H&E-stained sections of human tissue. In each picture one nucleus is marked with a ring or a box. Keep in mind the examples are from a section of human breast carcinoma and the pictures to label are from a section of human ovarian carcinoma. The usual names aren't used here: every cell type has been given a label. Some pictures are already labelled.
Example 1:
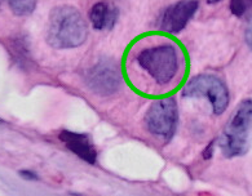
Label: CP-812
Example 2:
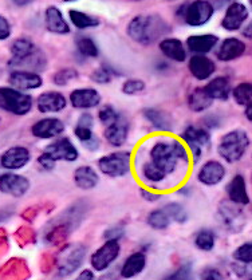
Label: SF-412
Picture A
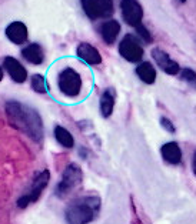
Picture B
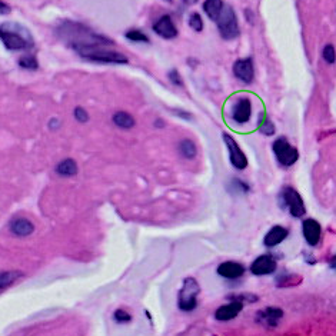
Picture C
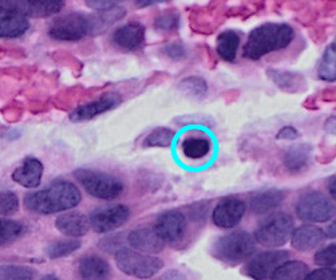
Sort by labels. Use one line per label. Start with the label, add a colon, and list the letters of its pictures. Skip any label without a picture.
SF-412: A, B, C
